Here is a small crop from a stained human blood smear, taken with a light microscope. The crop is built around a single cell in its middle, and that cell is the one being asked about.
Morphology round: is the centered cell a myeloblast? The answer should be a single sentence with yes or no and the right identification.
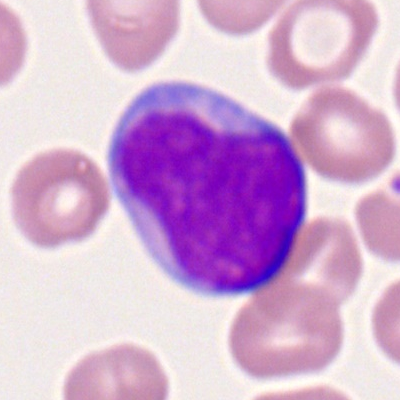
Yes, the cell at the middle of the frame is a myeloblast.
